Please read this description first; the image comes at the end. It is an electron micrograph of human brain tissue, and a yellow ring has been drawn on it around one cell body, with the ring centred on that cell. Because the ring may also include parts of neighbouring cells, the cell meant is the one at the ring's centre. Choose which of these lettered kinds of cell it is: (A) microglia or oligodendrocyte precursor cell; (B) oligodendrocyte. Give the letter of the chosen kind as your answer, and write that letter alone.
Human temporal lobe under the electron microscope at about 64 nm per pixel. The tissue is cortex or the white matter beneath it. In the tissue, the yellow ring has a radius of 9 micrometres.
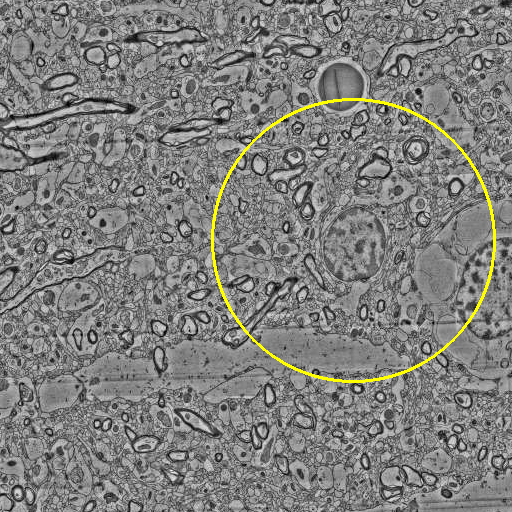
A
